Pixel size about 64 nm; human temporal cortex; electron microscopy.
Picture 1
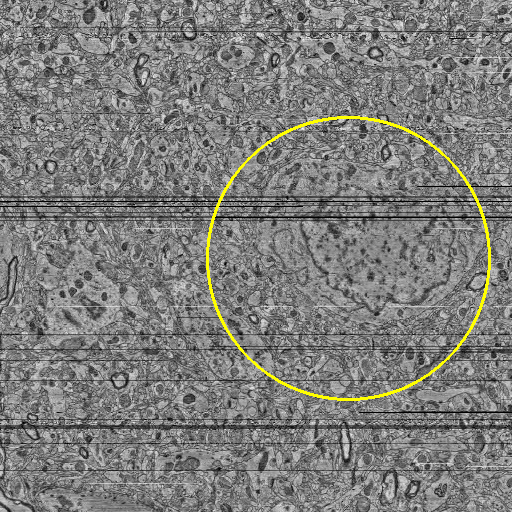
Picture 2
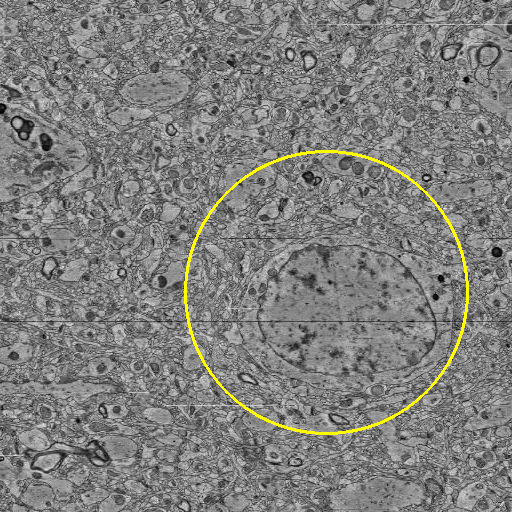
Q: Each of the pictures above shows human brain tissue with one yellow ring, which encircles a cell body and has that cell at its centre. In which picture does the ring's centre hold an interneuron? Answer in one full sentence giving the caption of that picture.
Picture 1 is the one whose ring is centred on the cell in question.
